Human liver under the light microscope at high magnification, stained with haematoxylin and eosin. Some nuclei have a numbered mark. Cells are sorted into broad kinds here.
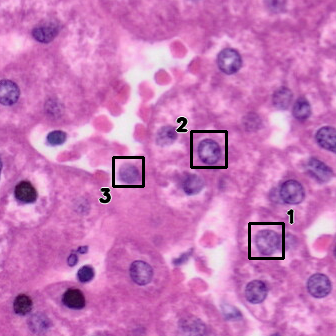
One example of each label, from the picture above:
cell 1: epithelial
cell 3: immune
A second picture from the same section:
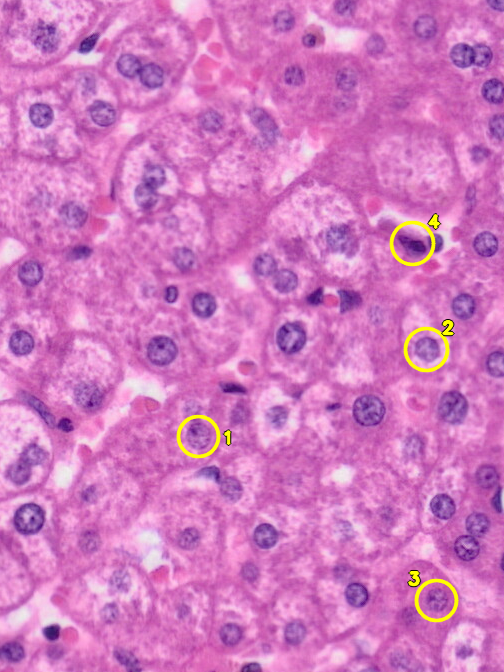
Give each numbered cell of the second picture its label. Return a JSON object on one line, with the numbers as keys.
{"1": "epithelial", "2": "epithelial", "3": "epithelial", "4": "immune"}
